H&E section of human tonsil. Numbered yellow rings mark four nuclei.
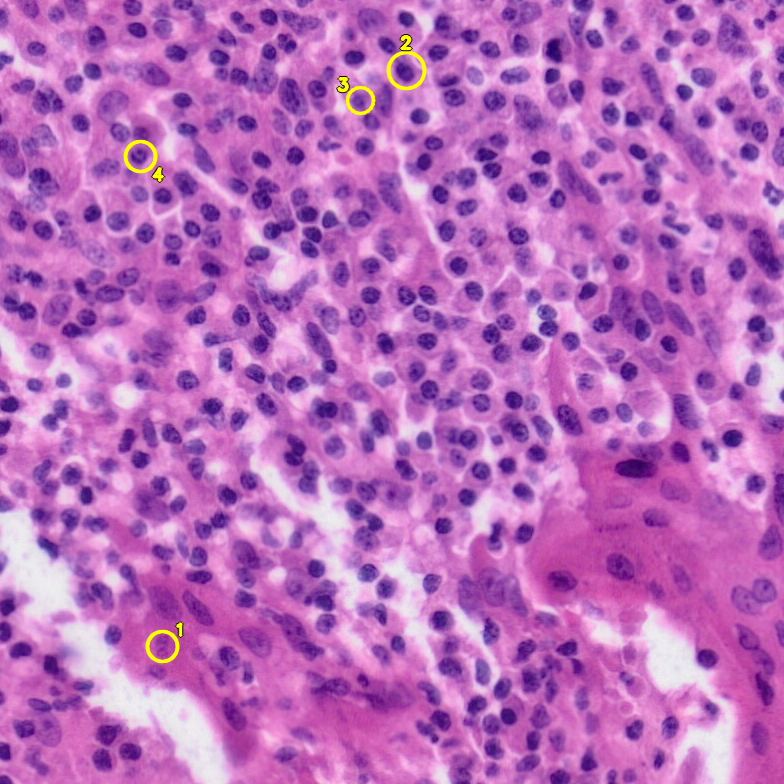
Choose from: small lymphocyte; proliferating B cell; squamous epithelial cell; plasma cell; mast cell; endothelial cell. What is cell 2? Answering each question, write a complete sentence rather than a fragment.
The cell with the number 2 is a plasma cell.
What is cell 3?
The expected answer is that cell 3 is a plasma cell.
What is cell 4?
The one numbered 4 among the marked cells is a plasma cell.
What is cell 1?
To a squamous epithelial cell belongs the nucleus marked 1.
